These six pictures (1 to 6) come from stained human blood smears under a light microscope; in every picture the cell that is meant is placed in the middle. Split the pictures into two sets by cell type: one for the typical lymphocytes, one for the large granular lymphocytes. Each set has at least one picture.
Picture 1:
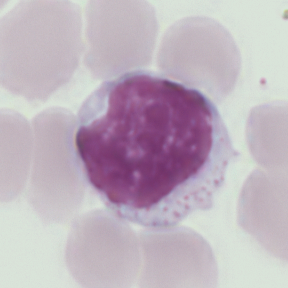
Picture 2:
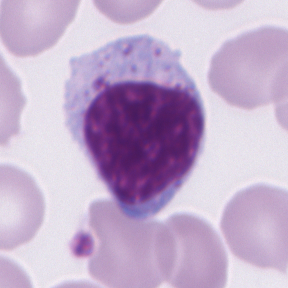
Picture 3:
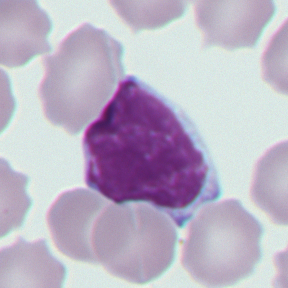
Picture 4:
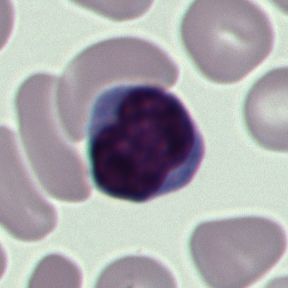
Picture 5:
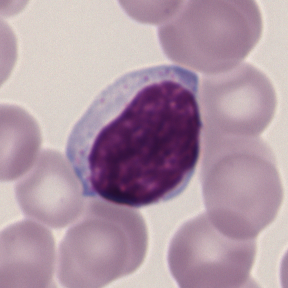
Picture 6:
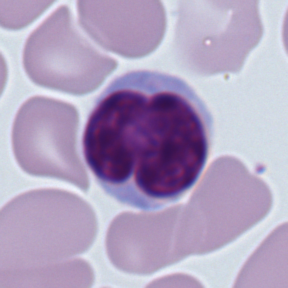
1: large granular lymphocyte
2: large granular lymphocyte
3: typical lymphocyte
4: typical lymphocyte
5: large granular lymphocyte
6: typical lymphocyte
